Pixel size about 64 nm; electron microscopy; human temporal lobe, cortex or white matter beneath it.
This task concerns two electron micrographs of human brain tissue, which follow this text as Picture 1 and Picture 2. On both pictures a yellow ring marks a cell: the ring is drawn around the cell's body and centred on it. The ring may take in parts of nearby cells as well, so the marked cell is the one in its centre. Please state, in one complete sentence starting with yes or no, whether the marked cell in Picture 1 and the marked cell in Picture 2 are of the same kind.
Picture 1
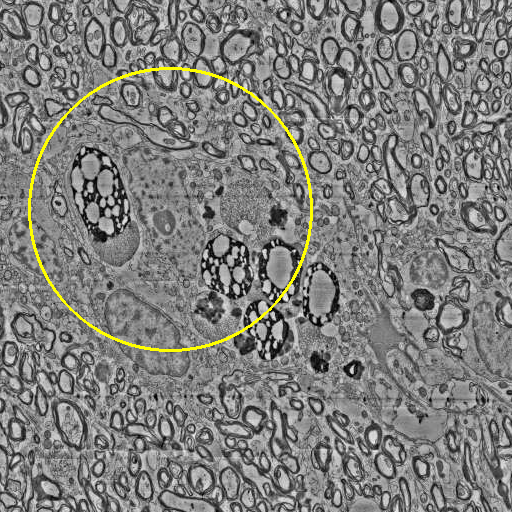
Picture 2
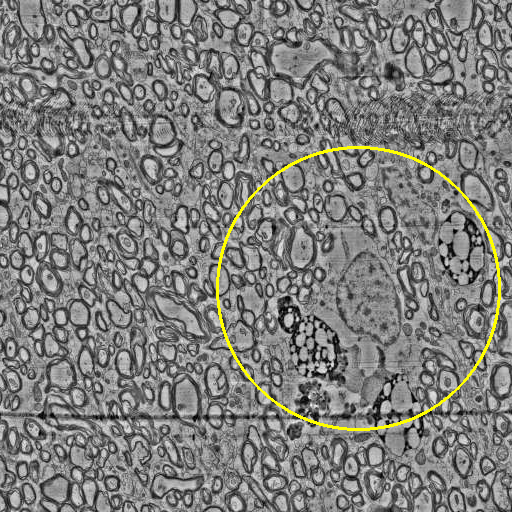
Yes, the marked cells in both pictures are of the same kind.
